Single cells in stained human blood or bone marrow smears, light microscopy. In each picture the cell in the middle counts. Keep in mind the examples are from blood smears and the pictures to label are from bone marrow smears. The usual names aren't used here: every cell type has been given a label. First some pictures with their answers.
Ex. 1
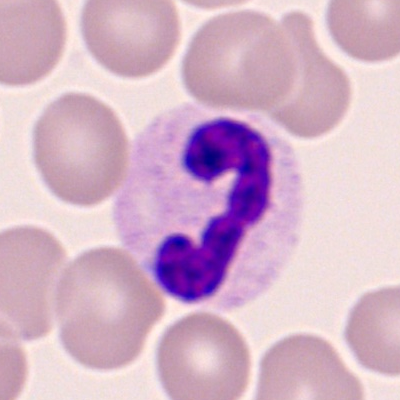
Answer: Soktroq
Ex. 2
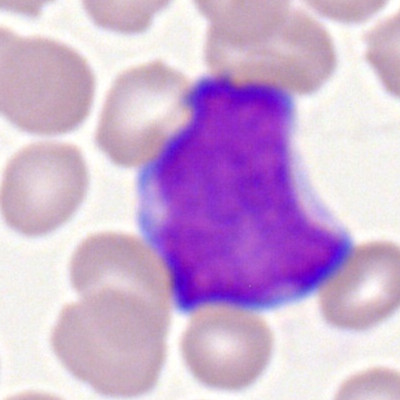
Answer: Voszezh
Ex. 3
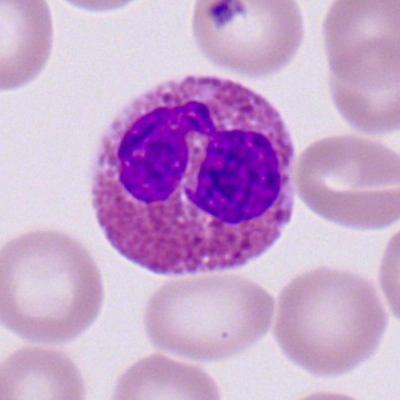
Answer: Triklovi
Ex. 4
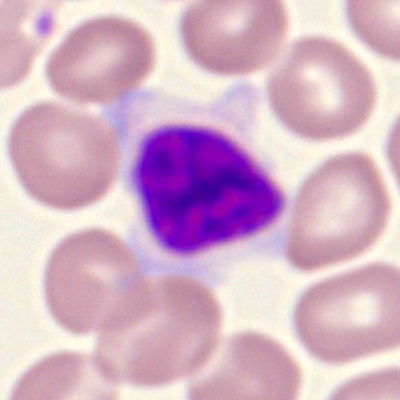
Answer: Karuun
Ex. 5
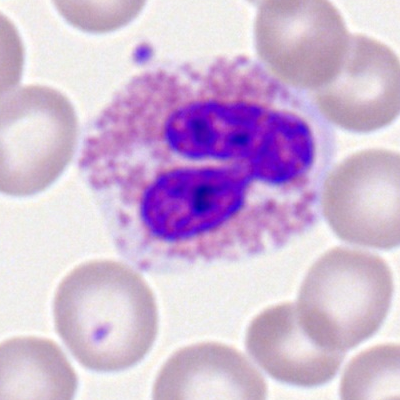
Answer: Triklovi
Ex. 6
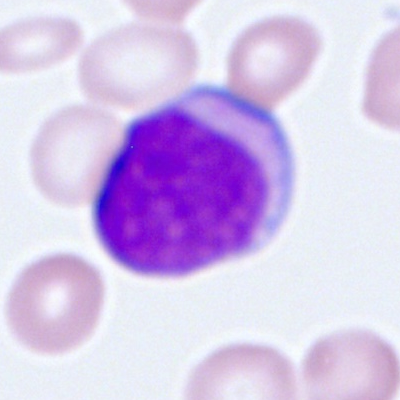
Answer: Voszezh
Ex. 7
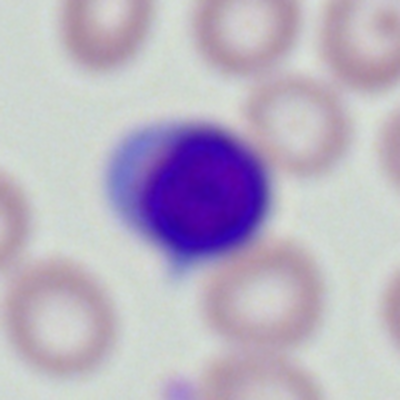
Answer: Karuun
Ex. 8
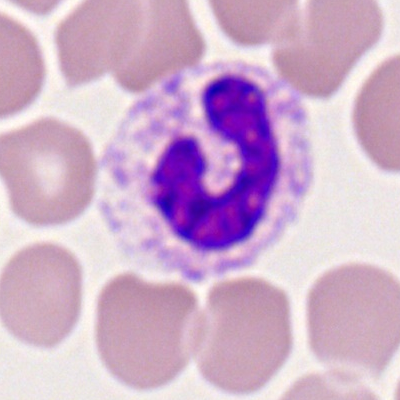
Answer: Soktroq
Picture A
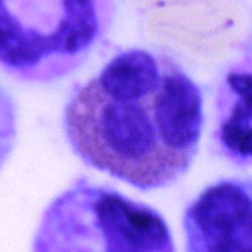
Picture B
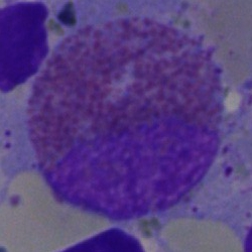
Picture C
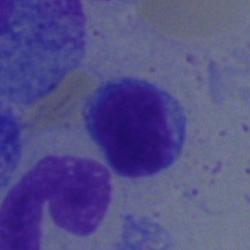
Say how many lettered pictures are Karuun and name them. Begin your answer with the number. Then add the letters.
1: C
